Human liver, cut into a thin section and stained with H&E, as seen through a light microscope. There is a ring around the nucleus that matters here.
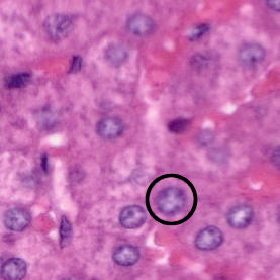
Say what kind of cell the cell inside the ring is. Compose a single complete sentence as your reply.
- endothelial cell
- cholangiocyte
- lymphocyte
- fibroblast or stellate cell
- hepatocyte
In terms of identity, the cell inside the ring is a hepatocyte.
